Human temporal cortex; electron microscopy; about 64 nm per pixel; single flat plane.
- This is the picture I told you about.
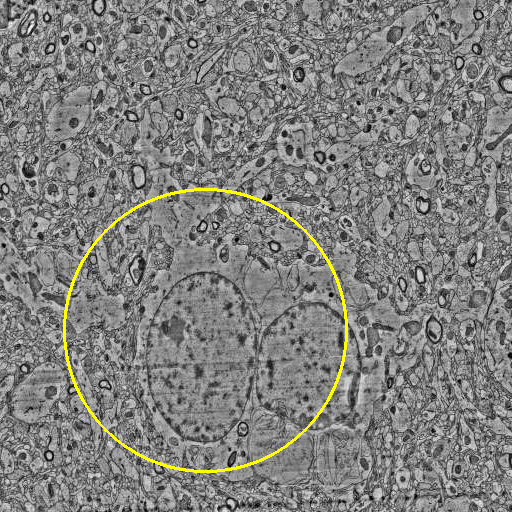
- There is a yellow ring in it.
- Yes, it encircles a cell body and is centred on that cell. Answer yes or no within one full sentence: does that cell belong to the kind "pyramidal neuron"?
No, the cell on which the yellow ring is centred belongs to a different kind.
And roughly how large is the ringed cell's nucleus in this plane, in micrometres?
In this plane, the nucleus of the cell at the centre of the ring measures about 11 by 7 micrometres.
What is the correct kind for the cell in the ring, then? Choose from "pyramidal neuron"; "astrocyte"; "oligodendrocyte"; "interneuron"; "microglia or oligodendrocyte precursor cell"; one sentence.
This picture has an astrocyte at the centre of its ring.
